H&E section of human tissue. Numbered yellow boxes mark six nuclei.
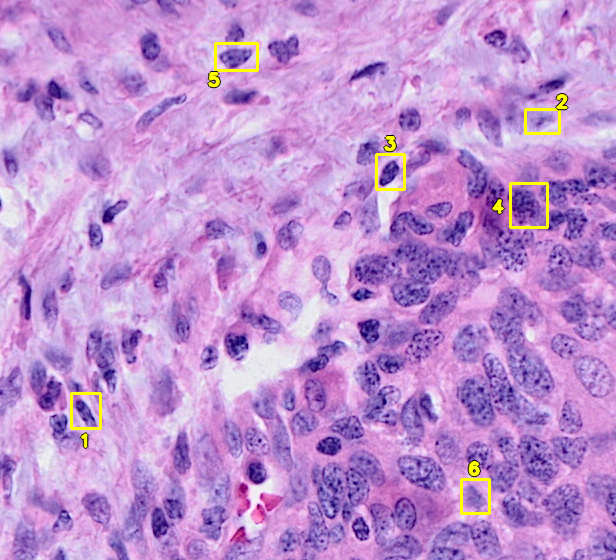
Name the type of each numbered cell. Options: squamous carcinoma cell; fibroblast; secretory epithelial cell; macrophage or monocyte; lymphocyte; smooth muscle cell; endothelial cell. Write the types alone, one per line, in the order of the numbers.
lymphocyte
fibroblast
lymphocyte
squamous carcinoma cell
lymphocyte
squamous carcinoma cell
